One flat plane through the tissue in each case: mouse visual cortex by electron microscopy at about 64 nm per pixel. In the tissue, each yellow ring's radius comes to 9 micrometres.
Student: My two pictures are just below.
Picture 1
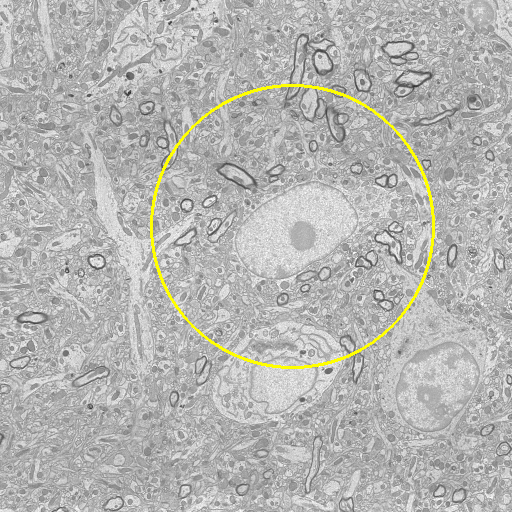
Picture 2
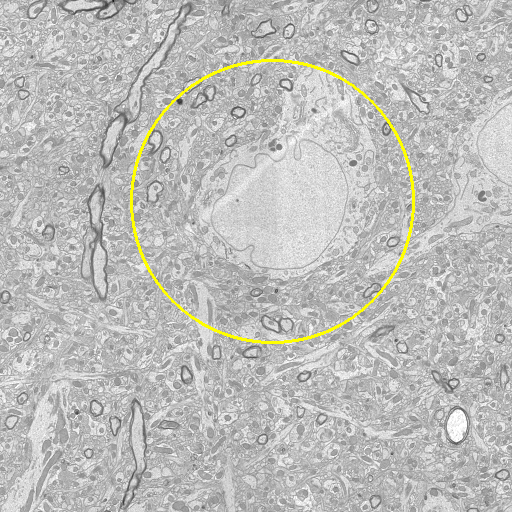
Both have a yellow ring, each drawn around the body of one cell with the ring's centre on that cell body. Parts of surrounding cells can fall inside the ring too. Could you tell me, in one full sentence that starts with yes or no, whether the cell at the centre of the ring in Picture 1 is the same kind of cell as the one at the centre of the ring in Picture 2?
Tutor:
No, the two cells are of two kinds.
